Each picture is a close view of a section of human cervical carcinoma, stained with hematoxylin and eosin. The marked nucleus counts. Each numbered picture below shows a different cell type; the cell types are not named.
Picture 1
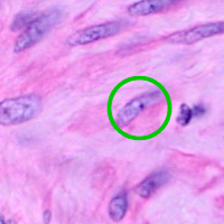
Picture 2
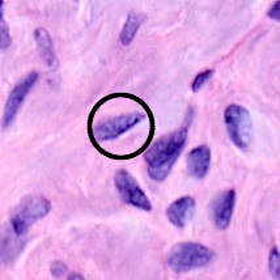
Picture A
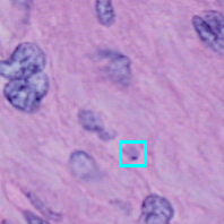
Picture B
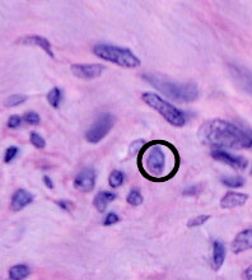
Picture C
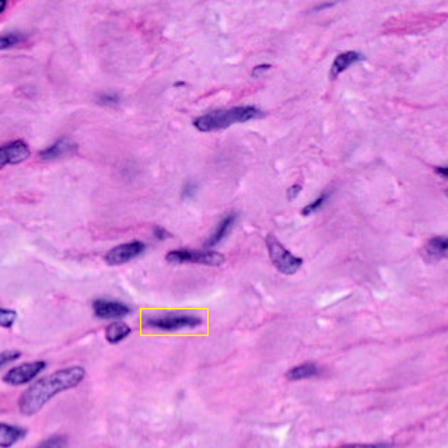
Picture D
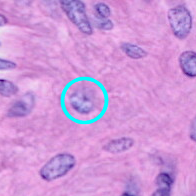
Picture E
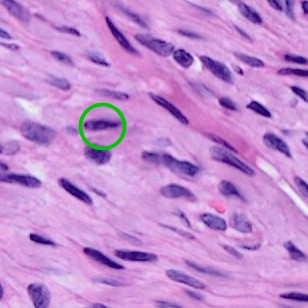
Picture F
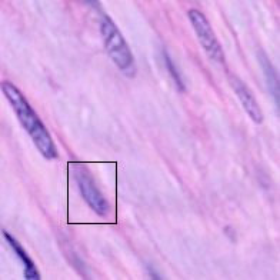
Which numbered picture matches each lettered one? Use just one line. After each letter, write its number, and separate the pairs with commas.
A 1, B 1, C 2, D 1, E 2, F 1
